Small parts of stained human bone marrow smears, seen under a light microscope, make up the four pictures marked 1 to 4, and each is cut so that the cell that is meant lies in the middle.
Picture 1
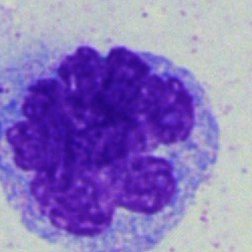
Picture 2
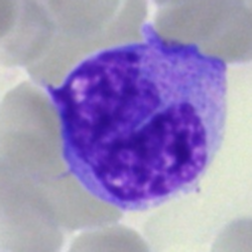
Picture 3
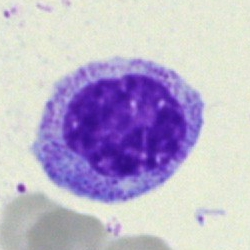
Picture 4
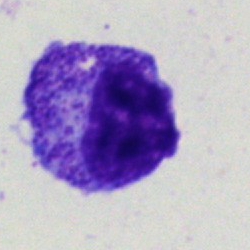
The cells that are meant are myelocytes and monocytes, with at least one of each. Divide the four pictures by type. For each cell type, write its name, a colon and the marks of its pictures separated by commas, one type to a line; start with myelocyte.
myelocyte: 3, 4
monocyte: 1, 2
